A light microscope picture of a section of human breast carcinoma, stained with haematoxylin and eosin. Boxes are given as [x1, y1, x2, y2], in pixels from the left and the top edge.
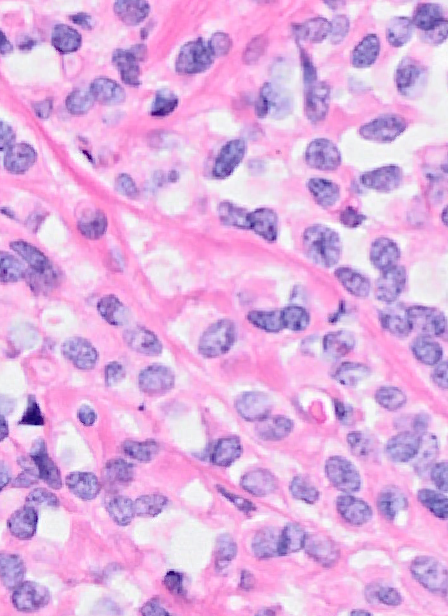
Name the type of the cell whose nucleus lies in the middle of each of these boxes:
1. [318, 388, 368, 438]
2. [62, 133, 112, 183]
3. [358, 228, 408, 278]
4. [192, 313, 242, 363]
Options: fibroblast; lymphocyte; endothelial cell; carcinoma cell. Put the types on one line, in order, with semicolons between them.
endothelial cell; endothelial cell; carcinoma cell; carcinoma cell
